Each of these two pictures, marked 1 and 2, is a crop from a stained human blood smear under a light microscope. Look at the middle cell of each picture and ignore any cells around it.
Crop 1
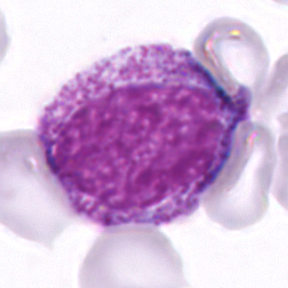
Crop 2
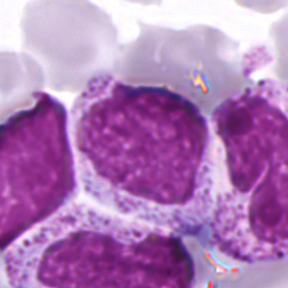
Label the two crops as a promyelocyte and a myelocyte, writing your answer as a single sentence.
Crop 1 is a promyelocyte, whilst crop 2 is a myelocyte.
